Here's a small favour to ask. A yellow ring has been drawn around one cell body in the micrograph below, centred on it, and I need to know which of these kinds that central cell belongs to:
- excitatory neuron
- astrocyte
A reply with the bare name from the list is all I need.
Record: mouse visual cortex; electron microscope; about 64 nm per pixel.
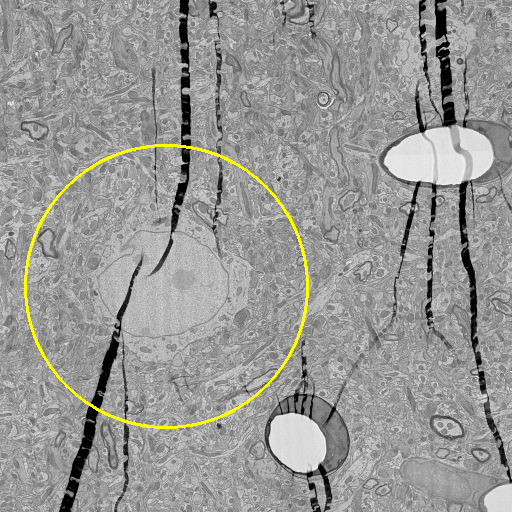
excitatory neuron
